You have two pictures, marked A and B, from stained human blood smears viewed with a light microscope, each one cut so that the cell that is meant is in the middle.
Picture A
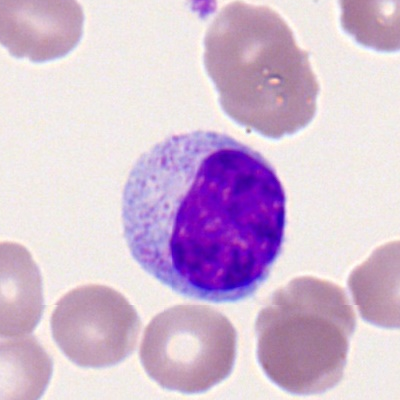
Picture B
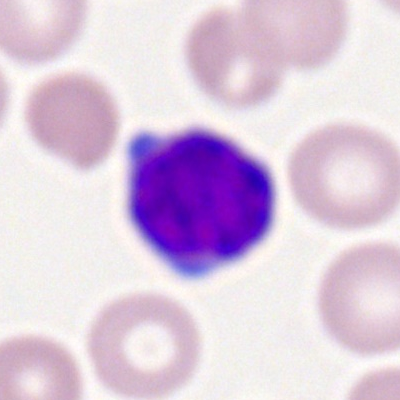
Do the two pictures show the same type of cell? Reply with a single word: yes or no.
yes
